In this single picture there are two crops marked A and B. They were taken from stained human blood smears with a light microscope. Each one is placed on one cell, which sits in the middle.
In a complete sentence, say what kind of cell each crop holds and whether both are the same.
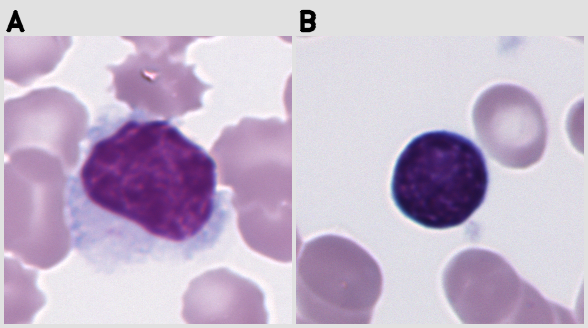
No, crop A gives us a hairy cell and crop B gives us a typical lymphocyte.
